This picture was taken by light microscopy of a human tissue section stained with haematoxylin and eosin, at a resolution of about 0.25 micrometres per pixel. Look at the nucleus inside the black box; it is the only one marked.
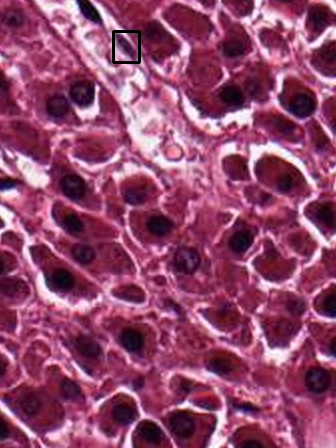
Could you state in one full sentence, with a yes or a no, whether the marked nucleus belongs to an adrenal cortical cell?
No, rather than to an adrenal cortical cell, the marked nucleus belongs to a supporting cell.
